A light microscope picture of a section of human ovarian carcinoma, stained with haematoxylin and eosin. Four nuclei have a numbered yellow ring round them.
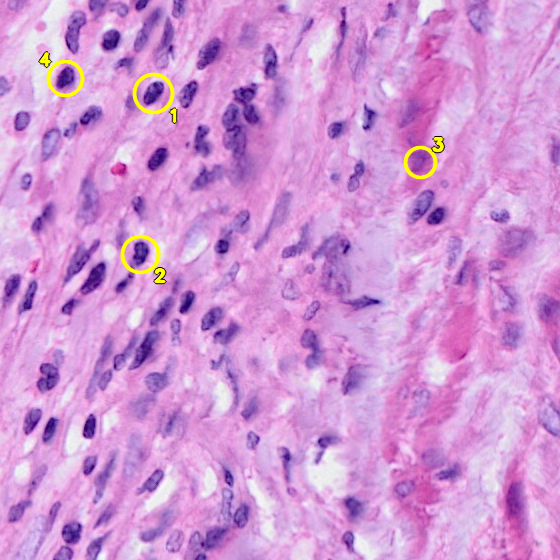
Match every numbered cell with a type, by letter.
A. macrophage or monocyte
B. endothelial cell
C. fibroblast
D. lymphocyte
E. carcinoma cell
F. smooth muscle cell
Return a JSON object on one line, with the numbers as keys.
{"1": "D", "2": "D", "3": "F", "4": "D"}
